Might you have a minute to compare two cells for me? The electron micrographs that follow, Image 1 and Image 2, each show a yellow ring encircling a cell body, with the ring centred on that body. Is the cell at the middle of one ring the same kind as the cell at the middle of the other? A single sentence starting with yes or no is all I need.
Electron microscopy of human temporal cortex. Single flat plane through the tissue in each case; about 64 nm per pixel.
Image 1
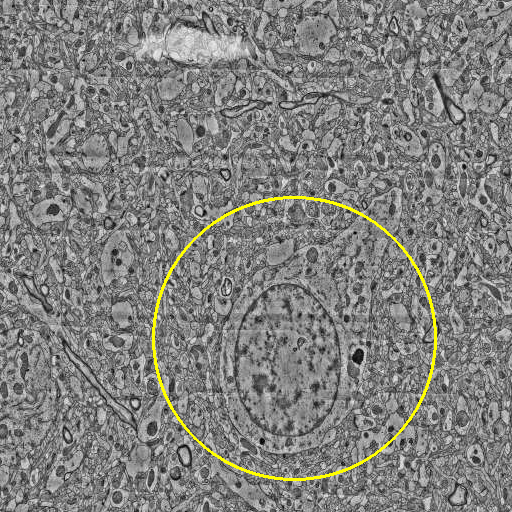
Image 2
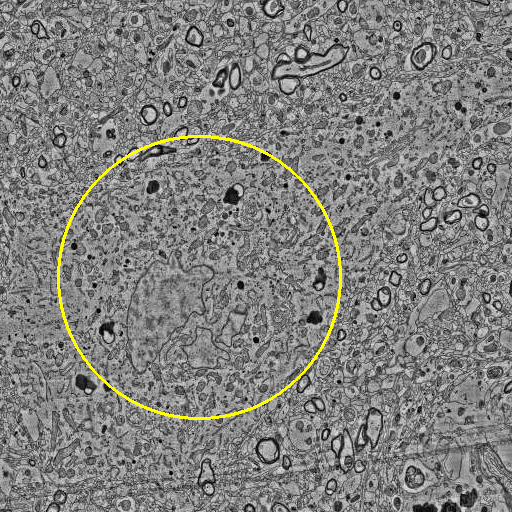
Yes, the cells in the middle of the two rings are of one shared kind.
